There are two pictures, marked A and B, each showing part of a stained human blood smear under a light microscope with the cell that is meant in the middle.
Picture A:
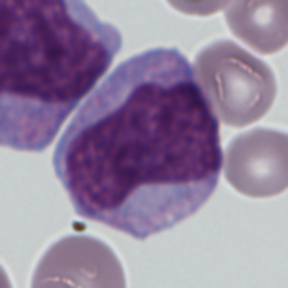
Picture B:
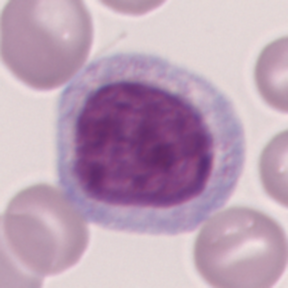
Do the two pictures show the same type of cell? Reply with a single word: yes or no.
no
